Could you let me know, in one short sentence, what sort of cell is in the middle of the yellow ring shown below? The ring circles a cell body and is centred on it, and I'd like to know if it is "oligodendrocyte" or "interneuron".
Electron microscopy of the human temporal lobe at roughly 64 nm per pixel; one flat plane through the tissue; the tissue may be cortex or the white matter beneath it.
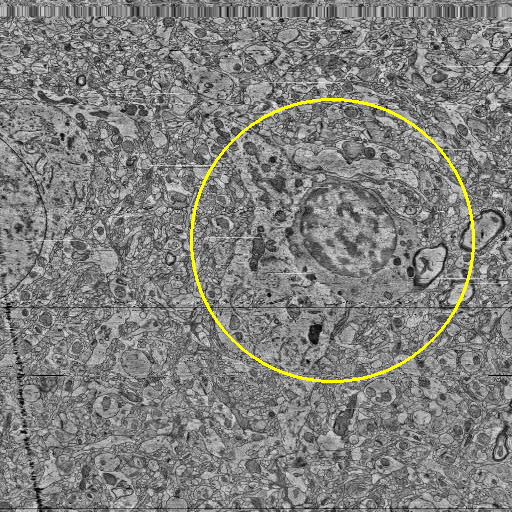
The ring circles the cell body of an oligodendrocyte.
